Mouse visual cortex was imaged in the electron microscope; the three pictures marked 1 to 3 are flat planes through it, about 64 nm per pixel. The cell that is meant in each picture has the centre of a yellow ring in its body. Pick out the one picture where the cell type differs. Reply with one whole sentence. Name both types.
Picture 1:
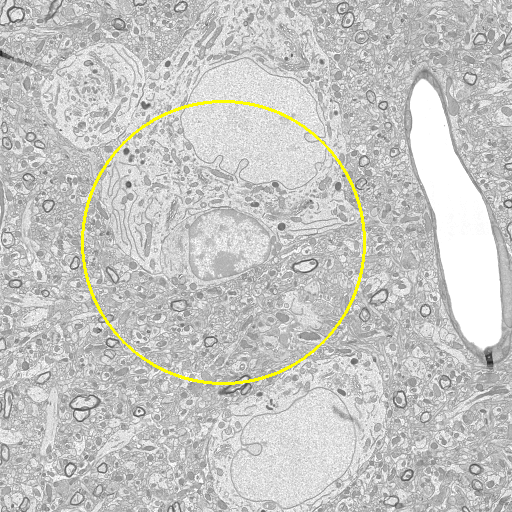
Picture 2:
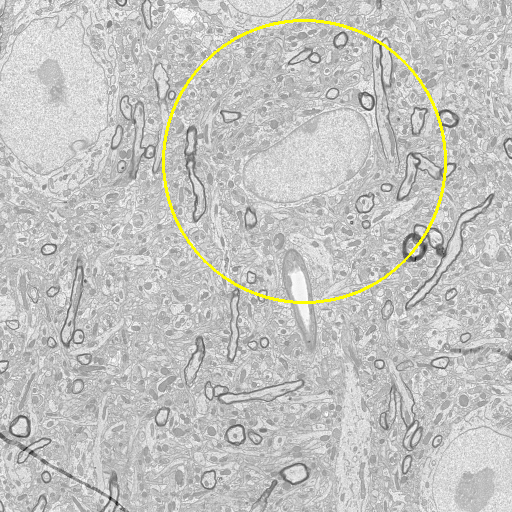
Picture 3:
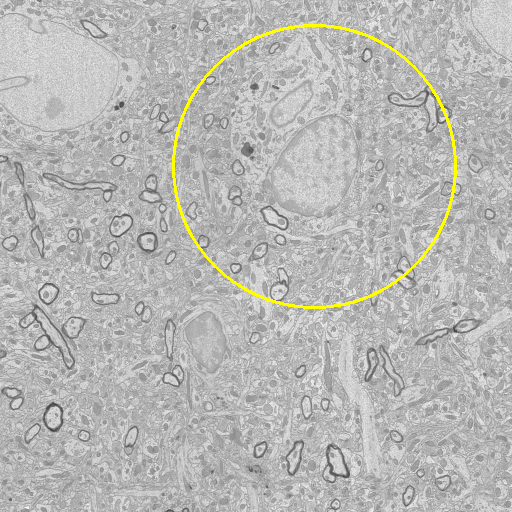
The others show oligodendrocytes, but picture 2 shows an astrocyte.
